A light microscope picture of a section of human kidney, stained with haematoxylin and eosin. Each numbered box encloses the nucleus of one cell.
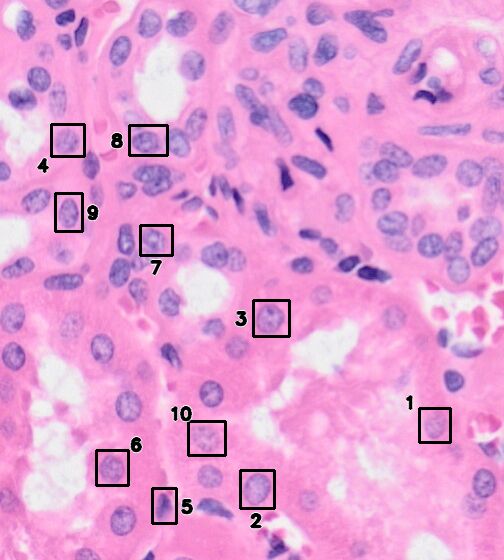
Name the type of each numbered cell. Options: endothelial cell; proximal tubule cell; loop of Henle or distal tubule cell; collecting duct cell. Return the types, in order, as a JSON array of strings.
["proximal tubule cell", "proximal tubule cell", "proximal tubule cell", "collecting duct cell", "endothelial cell", "proximal tubule cell", "collecting duct cell", "collecting duct cell", "collecting duct cell", "proximal tubule cell"]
